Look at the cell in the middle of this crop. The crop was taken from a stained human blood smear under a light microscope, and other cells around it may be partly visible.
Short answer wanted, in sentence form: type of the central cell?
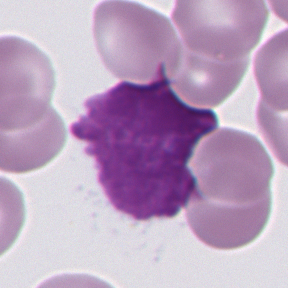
The centrally located cell in the crop is a smudge cell.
